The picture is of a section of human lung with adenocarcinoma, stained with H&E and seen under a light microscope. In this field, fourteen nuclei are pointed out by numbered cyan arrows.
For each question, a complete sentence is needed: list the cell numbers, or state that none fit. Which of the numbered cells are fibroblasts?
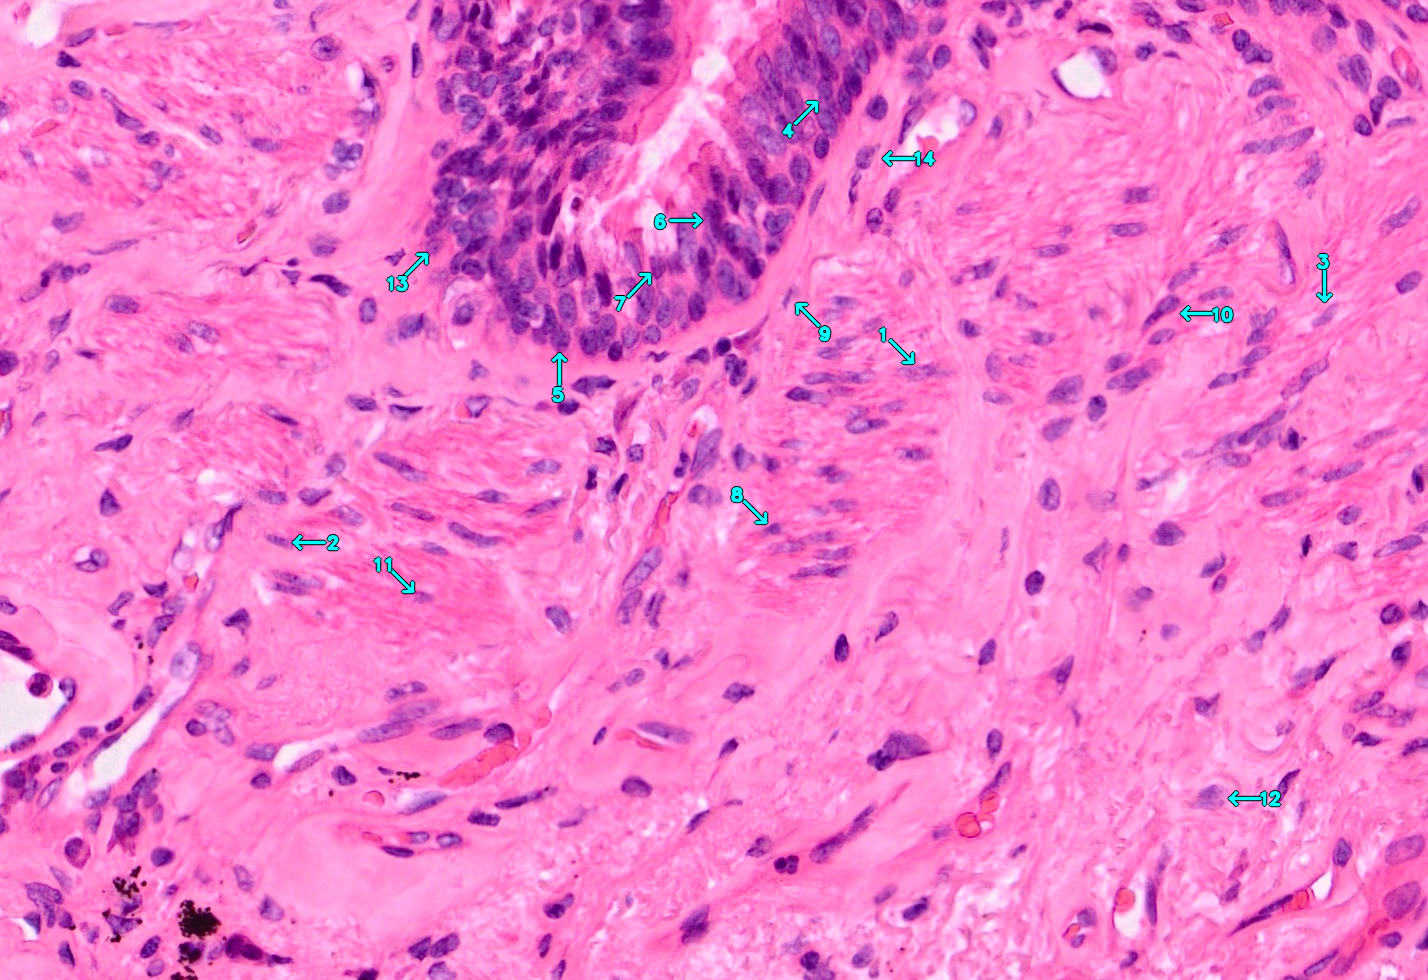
The numbers 9, 12 and 14 in this section indicate fibroblasts.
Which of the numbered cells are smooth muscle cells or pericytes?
Within the section, cells numbered 1, 2, 3, 8, 10 and 11 are smooth muscle cells or pericytes.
